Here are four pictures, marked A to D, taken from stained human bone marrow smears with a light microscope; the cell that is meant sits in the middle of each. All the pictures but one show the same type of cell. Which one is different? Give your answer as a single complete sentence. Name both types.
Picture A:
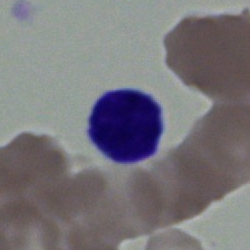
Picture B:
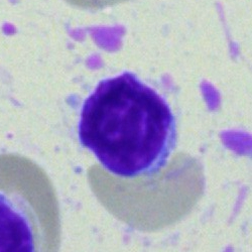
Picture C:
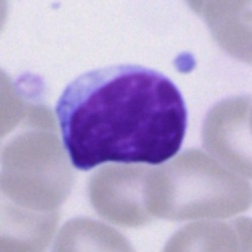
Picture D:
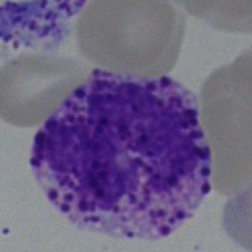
Picture D differs, because its cell is a basophil and the rest are lymphocytes.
